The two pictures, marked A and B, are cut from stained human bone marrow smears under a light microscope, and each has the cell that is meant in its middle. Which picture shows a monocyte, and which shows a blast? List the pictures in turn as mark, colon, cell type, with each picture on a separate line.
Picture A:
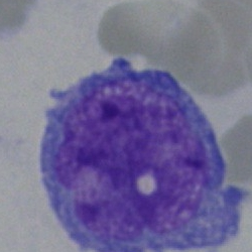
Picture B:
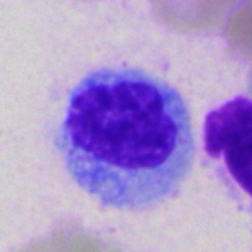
A: blast
B: monocyte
